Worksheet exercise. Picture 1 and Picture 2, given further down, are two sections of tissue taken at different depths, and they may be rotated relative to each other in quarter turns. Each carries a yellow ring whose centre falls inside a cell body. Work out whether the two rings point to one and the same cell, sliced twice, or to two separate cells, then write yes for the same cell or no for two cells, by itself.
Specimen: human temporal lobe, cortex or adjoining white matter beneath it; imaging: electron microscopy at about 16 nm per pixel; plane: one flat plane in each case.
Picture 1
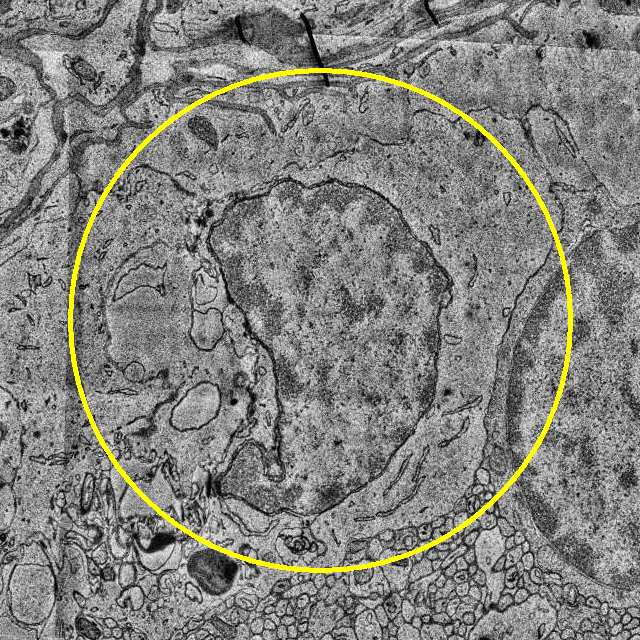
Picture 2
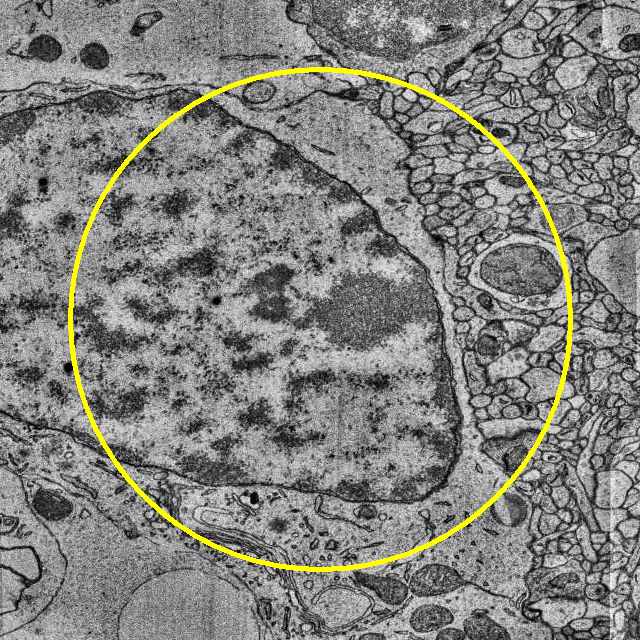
yes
